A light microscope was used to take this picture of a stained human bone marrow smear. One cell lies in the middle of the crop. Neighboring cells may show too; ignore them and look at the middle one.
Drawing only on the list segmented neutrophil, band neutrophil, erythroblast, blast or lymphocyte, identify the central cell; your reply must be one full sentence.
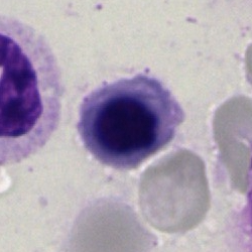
This crop is built around an erythroblast at its centre.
